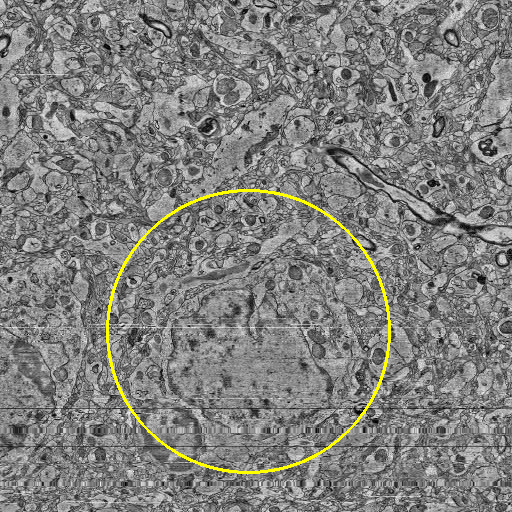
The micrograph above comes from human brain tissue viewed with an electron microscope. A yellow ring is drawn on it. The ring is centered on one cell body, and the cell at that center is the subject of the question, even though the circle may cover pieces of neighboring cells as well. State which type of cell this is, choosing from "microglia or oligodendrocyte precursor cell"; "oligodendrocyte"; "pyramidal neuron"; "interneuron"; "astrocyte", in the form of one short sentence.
The cell the ring is centered on is an interneuron.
